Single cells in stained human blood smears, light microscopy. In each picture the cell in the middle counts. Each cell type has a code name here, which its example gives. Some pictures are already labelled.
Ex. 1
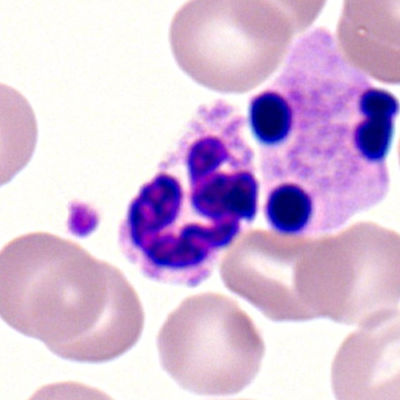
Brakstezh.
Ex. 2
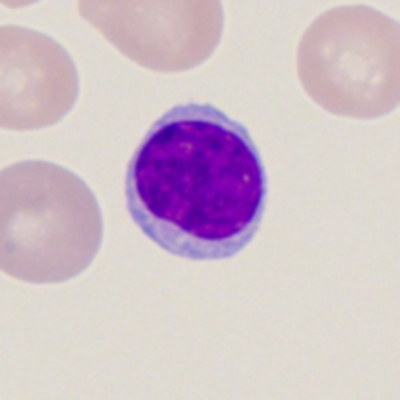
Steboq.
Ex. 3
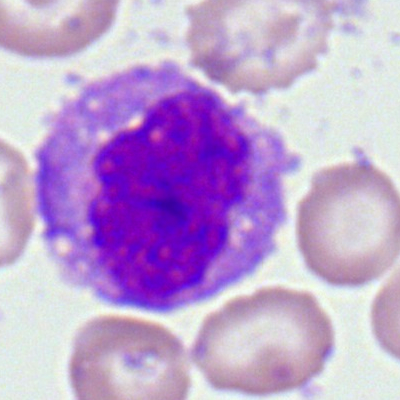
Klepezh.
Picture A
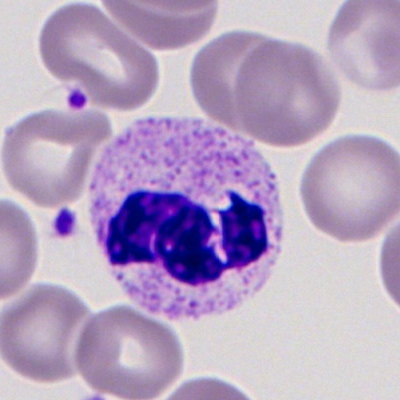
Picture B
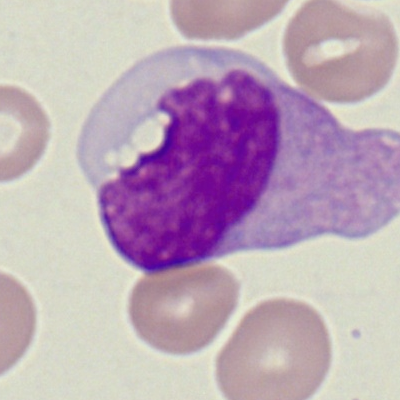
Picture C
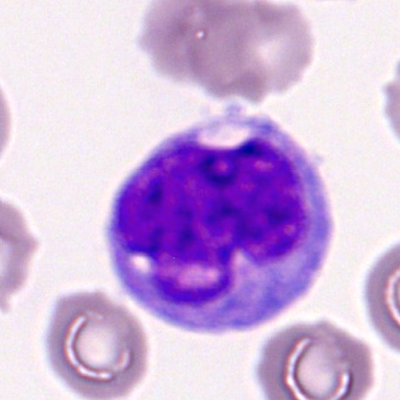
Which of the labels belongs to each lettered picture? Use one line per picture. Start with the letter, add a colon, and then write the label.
A: Brakstezh.
B: Klepezh.
C: Klepezh.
